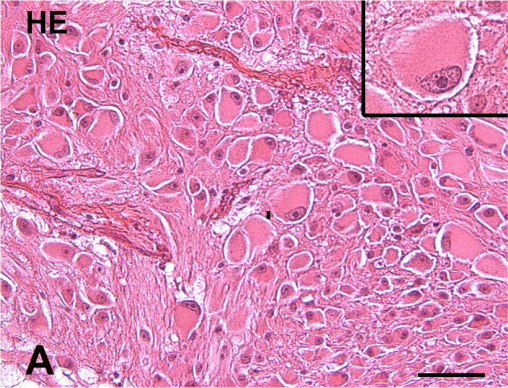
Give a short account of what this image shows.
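Tumor composed of numerous giant cells in a mixed glial background. The giant cells are large, polygonal to rounded, with abundant homogeneous pink glassy cytoplasm, often with a clear halo around them. Nuclei are relatively small, round to oval, frequently eccentric, with a visible nucleolus; the inset shows one such cell with a nucleus bearing a prominent nucleolus. Between them lie smaller cells with dark nuclei and a pale fibrillar pink matrix. Elongated streaks with spindle nuclei, consistent with small blood vessels, run diagonally through the field.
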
